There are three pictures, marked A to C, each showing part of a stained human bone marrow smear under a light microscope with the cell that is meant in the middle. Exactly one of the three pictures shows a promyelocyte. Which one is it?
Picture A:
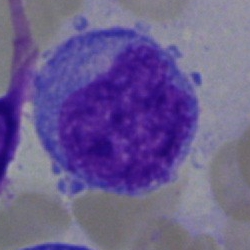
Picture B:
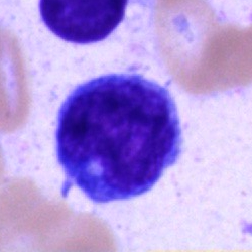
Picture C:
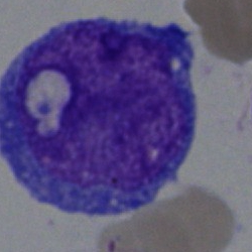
A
